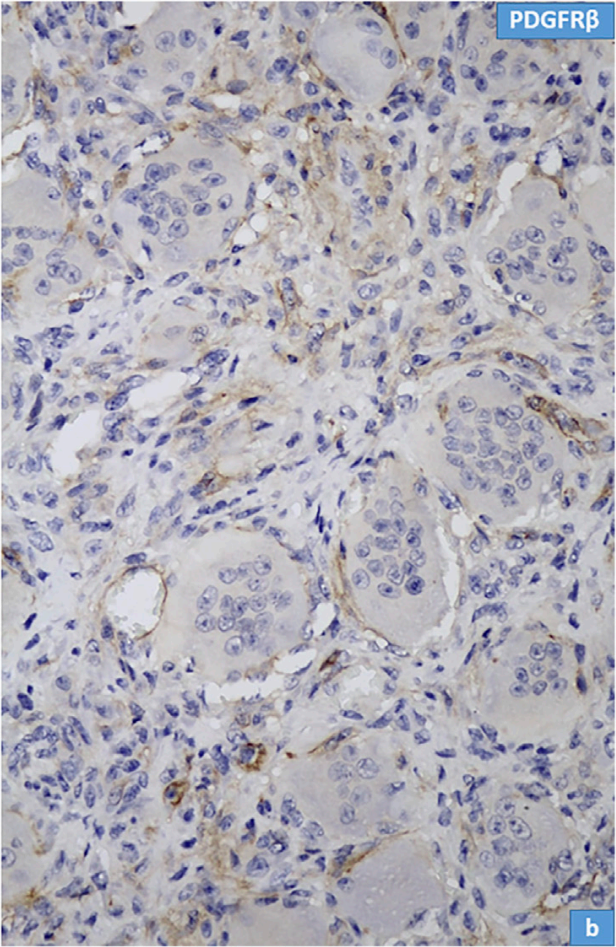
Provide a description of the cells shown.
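The giant cells are rounded to oval, with pale cytoplasm and many clustered oval blue nuclei, and they are largely unstained. Between them lie spindle-shaped and plump stromal cells with oval nuclei, some of which show faint, patchy brown staining of their cytoplasm and outlines. Small vessel-like spaces are also seen. The overall staining is weak and confined to the stroma around the giant cells.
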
